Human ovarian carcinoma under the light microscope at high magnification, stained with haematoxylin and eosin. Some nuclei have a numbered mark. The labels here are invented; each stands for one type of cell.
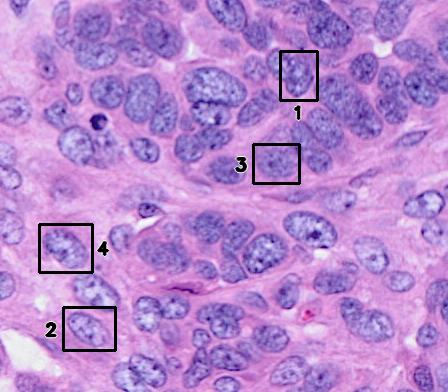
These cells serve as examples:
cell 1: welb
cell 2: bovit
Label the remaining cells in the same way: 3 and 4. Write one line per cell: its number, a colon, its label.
3: welb
4: bovit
